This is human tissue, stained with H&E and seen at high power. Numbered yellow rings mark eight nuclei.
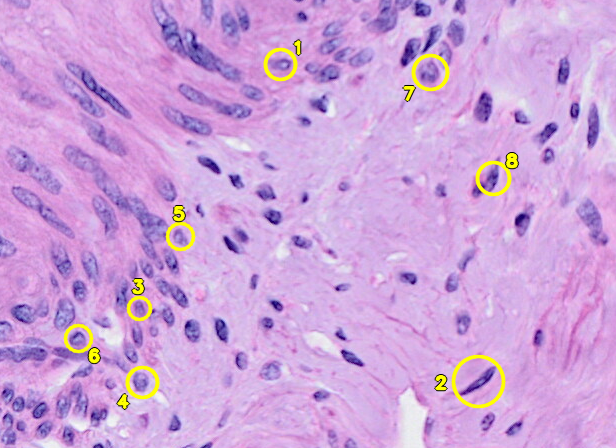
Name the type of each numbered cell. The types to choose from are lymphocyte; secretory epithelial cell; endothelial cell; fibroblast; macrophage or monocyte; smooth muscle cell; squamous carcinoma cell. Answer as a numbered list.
1. smooth muscle cell
2. fibroblast
3. smooth muscle cell
4. smooth muscle cell
5. smooth muscle cell
6. smooth muscle cell
7. endothelial cell
8. fibroblast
